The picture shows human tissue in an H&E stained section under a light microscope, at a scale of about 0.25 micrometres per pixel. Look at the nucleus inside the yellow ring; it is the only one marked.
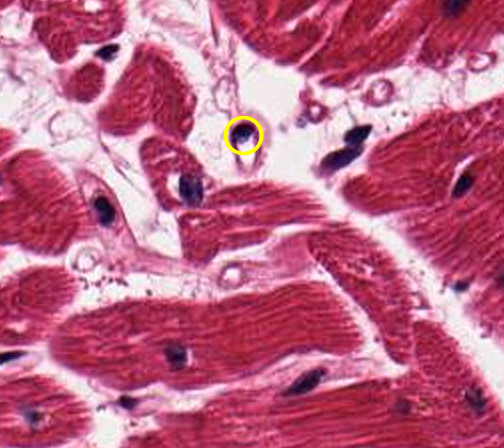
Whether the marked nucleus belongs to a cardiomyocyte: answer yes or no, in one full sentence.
No, what carries the marked nucleus is a supporting cell rather than a cardiomyocyte.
